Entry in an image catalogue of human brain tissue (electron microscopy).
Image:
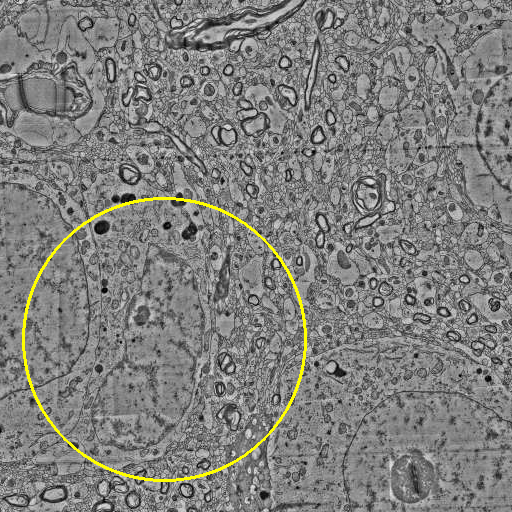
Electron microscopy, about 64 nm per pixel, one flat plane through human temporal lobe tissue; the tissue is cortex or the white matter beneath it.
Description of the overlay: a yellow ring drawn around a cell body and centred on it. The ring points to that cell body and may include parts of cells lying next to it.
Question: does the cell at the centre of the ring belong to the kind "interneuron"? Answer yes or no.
yes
